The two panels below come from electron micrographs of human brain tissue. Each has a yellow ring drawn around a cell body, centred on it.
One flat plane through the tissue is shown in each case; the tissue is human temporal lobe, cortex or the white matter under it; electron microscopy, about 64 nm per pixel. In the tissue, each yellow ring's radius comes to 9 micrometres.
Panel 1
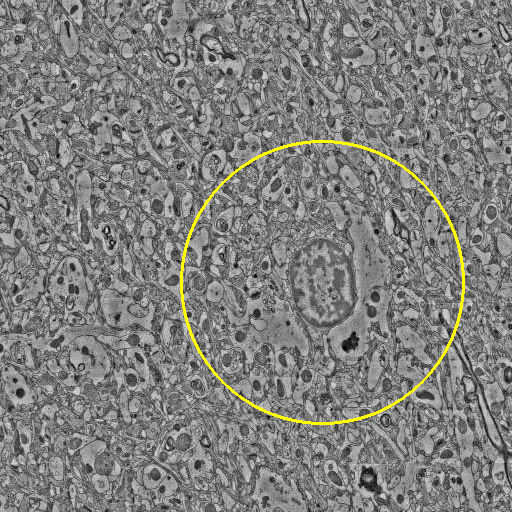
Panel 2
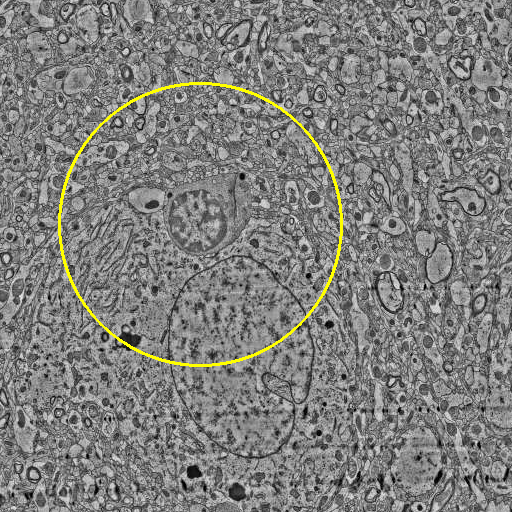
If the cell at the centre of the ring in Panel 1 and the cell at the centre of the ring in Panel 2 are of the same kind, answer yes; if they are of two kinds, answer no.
yes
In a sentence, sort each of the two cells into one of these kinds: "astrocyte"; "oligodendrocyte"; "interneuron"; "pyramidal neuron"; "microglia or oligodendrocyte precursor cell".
In each picture the ringed cell is an oligodendrocyte.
